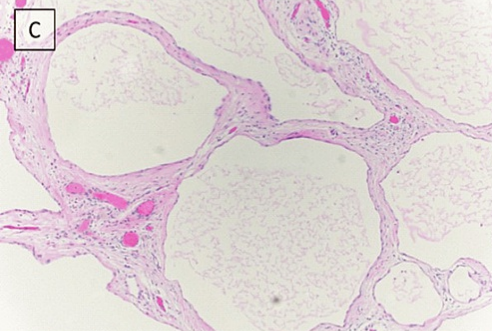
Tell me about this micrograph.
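Here many round cysts of varying size lie side by side, separated by thin septa of fibrous tissue. Each cyst is lined by a thin layer of flattened cells with small dark nuclei. The cyst spaces hold pale pink, lacy material. Where several septa meet, the fibrous tissue is thicker and holds small blood vessels with bright red blood cells. No crowding or heaping up of the lining cells is seen.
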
